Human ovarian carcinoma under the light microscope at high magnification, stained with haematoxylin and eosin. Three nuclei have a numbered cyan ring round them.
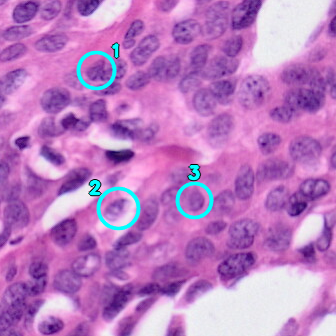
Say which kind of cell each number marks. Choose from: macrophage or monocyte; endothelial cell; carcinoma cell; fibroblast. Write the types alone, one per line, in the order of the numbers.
carcinoma cell
macrophage or monocyte
carcinoma cell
